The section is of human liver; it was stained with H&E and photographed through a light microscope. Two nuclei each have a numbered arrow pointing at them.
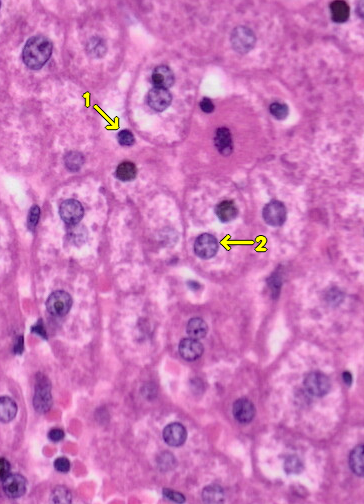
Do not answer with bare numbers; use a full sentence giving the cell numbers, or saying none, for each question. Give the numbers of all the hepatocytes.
Of the numbered cells, only cell 2 is a hepatocyte.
